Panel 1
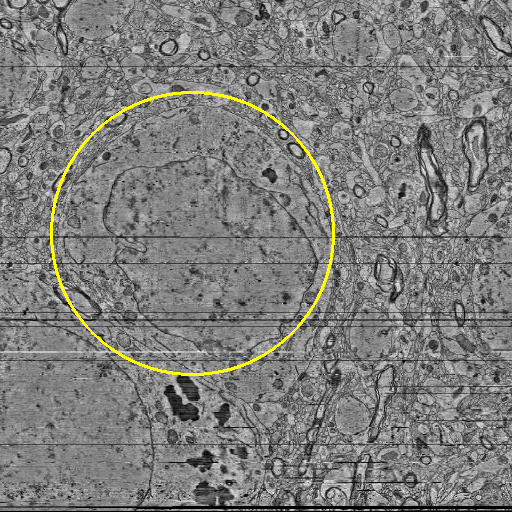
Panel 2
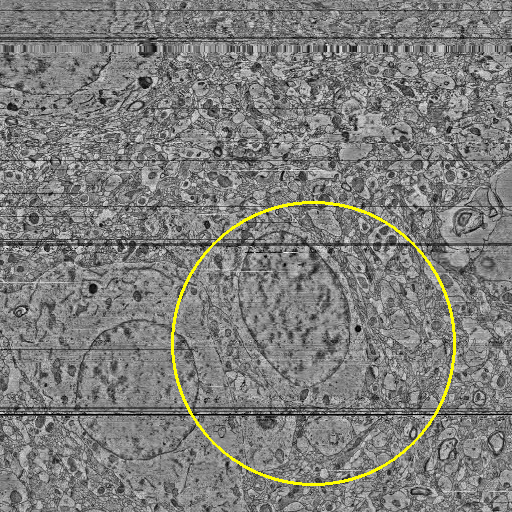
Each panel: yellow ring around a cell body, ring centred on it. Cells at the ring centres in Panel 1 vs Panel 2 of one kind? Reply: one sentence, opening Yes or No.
Yes, Panel 1 and Panel 2 have cells of one kind at the ring centres.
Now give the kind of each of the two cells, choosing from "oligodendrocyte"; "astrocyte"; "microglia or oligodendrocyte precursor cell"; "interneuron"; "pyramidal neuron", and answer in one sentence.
Both pictures show a pyramidal neuron at the centre of the ring.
